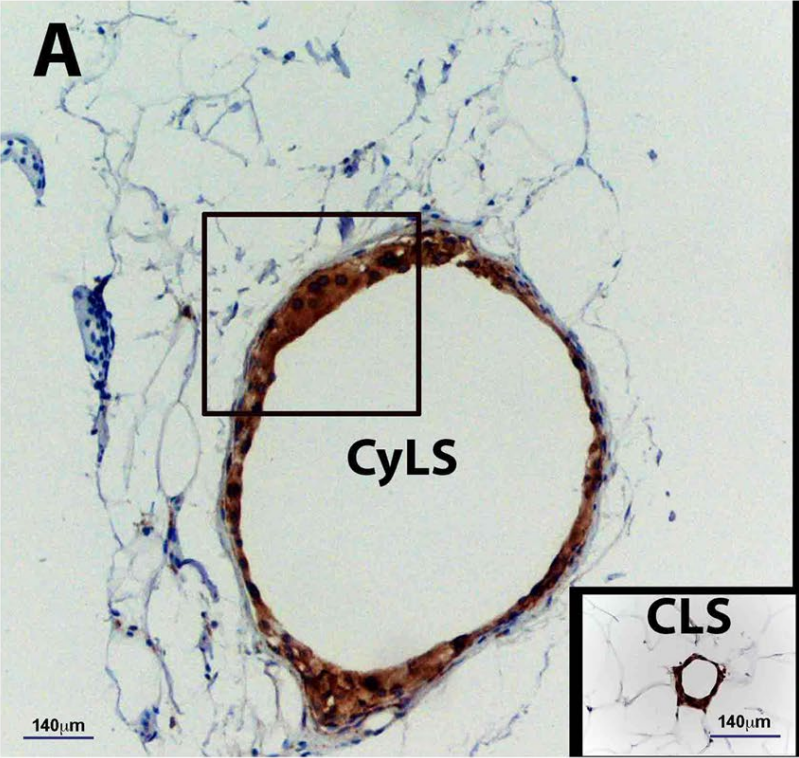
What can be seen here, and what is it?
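Adipose tissue with a large ring-shaped structure of brown-stained macrophages and giant cells enclosing an empty fat space, lying amid large adipocytes. The brown wall is several cells thick with dark round nuclei and is edged outside by a thin layer of flattened blue-stained cells. The enclosed space is far larger than the surrounding adipocytes; a small inset shows a much smaller brown ring around a single fat space.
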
